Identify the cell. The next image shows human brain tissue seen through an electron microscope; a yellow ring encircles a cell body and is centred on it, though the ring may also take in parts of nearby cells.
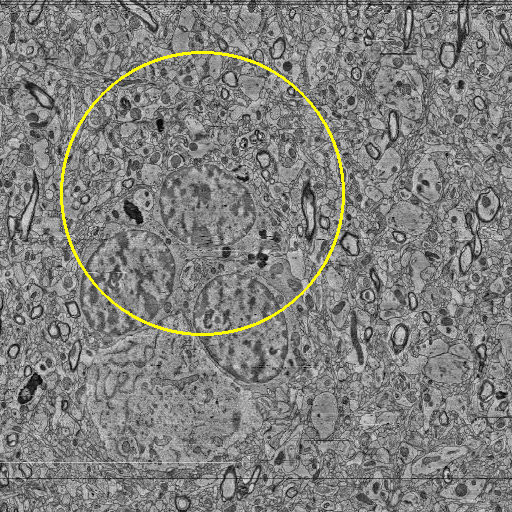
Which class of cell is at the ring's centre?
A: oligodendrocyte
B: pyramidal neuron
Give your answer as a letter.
A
